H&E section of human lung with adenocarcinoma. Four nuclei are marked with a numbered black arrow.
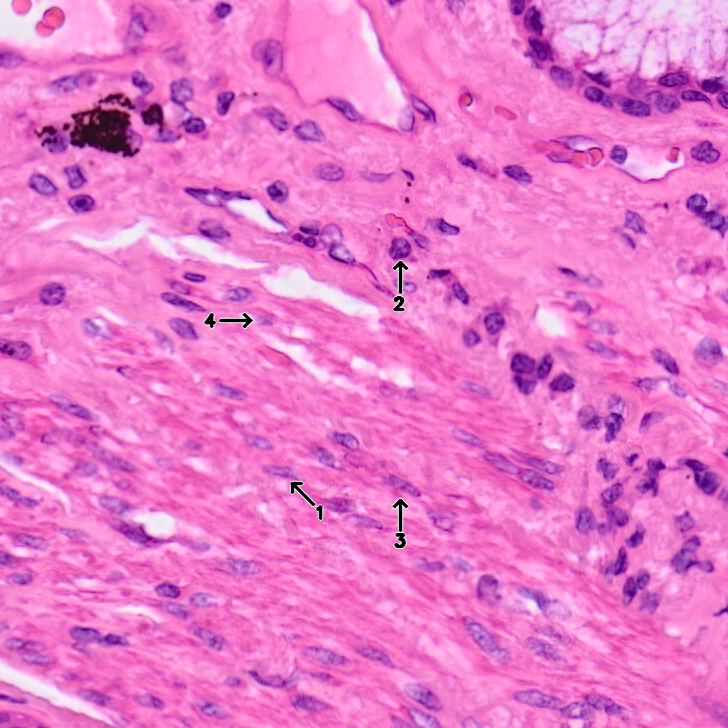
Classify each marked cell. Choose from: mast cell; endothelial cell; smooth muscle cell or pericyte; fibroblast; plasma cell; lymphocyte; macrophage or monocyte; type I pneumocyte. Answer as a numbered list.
1. smooth muscle cell or pericyte
2. plasma cell
3. smooth muscle cell or pericyte
4. smooth muscle cell or pericyte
